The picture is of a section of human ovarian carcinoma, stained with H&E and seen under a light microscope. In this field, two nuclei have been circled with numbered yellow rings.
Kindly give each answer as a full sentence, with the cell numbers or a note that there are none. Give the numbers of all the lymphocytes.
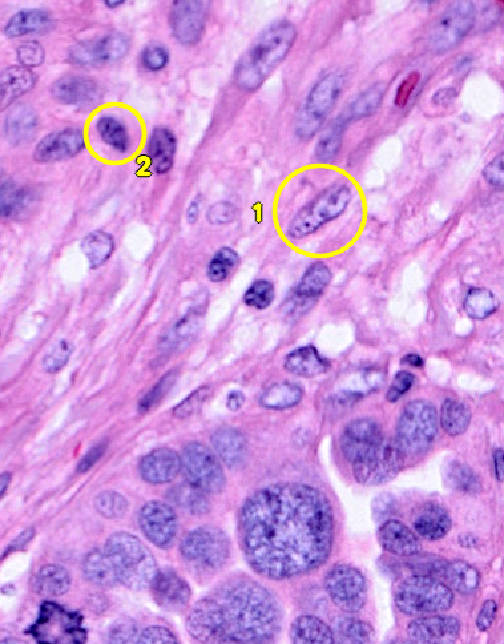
Whereas cell 2 is a lymphocyte, the other numbered cells are not.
